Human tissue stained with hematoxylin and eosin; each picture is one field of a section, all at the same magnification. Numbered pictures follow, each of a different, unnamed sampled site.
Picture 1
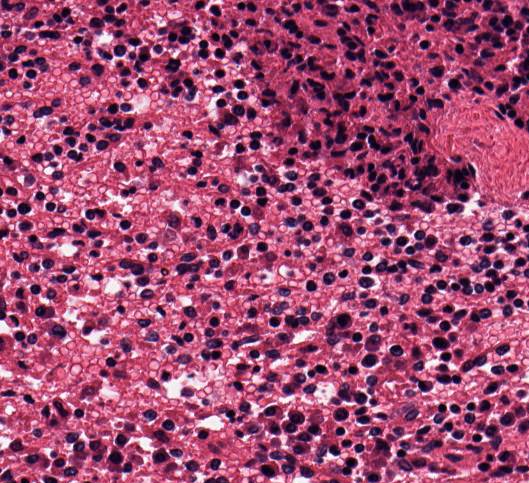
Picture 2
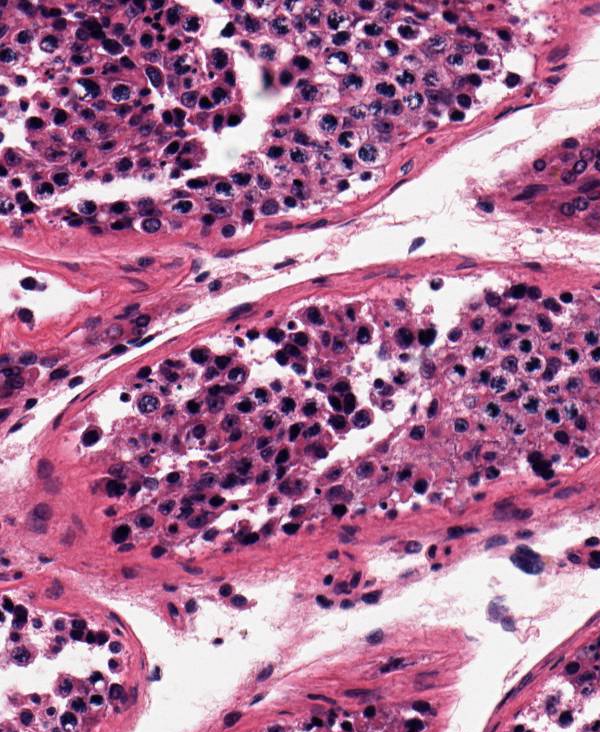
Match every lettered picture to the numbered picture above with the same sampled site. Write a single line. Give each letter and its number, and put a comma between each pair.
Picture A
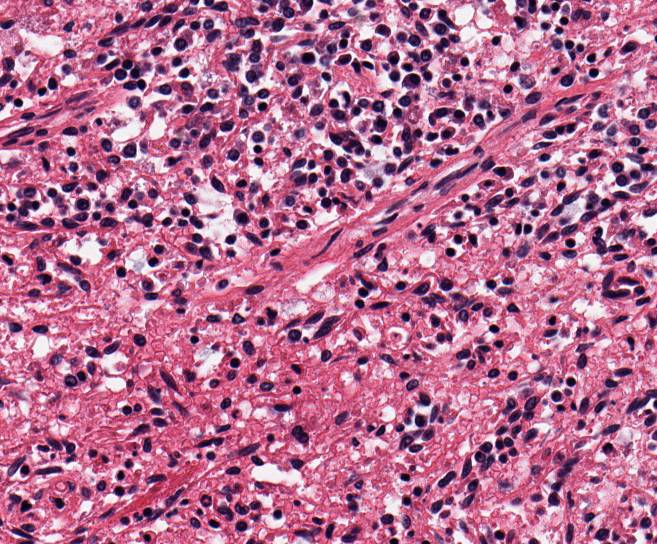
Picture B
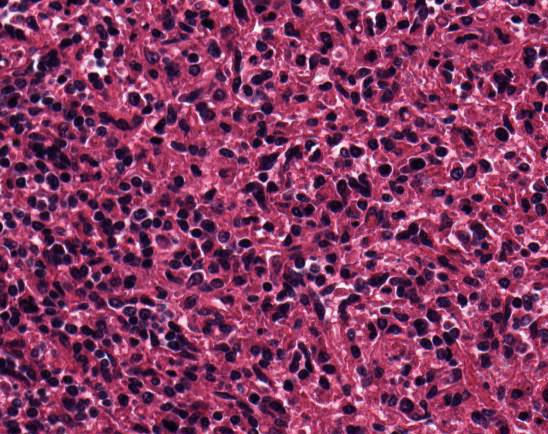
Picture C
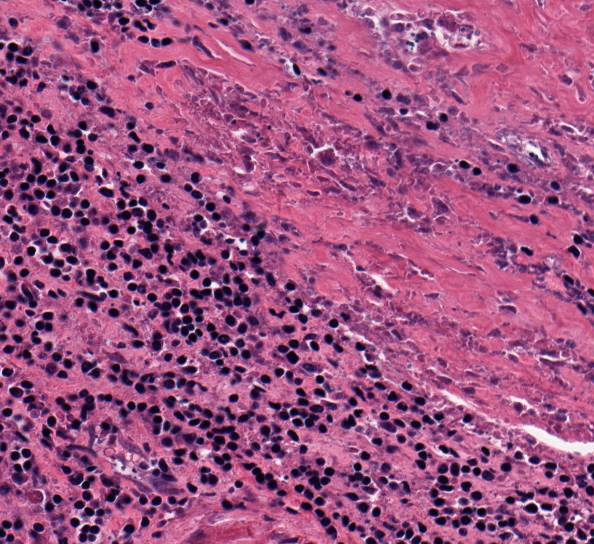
A 1, B 1, C 1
